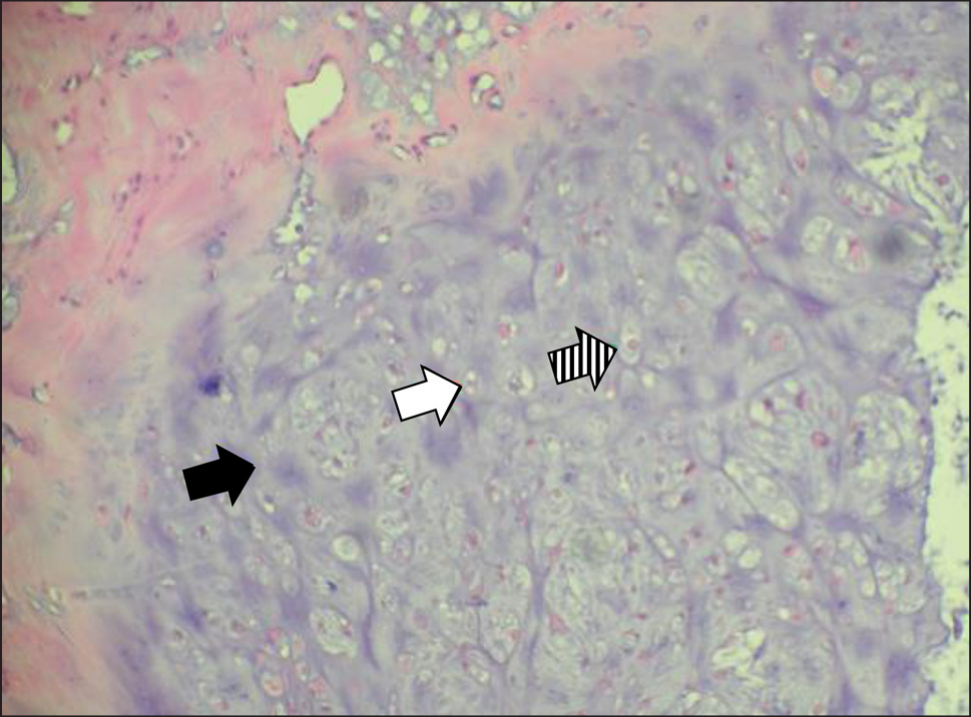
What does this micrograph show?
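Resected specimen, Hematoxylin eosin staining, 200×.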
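Cartilaginous tissue in which small to medium sized chondrocytes sit within clear spaces scattered through a pale bluish-purple, glassy chondroid matrix. At the upper left the bluish matrix gives way to a band of pink-staining tissue.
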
